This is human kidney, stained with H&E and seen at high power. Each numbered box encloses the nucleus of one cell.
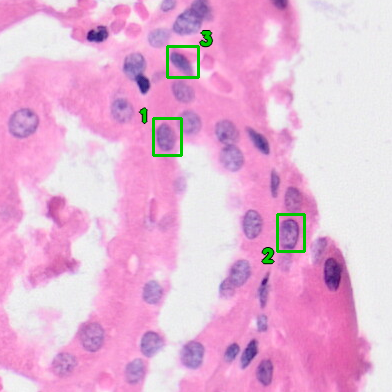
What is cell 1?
loop of Henle or distal tubule cell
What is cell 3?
endothelial cell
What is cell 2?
proximal tubule cell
